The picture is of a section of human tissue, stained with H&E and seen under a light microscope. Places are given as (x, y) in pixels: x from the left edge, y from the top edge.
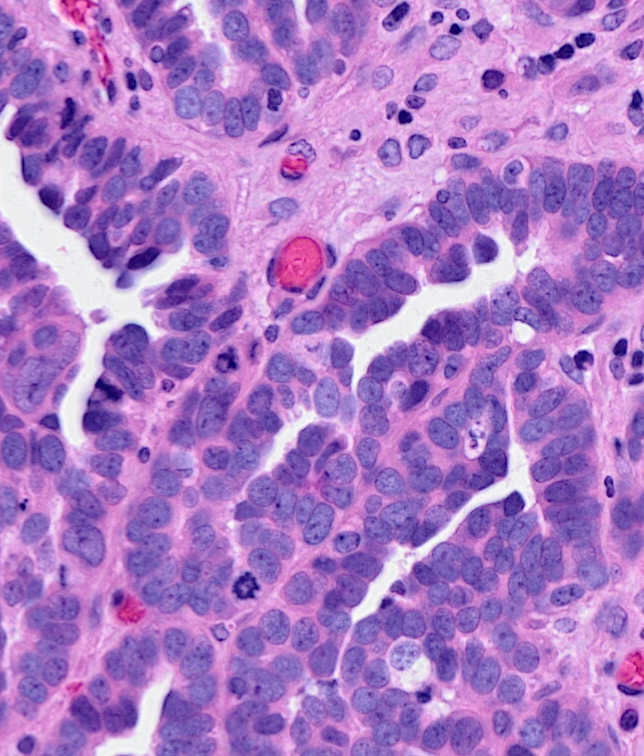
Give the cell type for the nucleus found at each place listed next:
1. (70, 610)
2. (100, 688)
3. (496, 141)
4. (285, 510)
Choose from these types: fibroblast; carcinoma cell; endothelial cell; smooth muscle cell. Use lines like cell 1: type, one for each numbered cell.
cell 1: carcinoma cell
cell 2: carcinoma cell
cell 3: fibroblast
cell 4: carcinoma cell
